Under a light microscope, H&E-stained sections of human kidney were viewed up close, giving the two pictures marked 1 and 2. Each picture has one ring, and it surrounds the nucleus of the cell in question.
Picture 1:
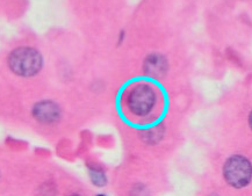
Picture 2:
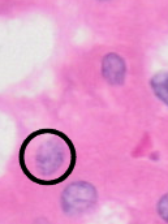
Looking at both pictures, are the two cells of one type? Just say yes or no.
yes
